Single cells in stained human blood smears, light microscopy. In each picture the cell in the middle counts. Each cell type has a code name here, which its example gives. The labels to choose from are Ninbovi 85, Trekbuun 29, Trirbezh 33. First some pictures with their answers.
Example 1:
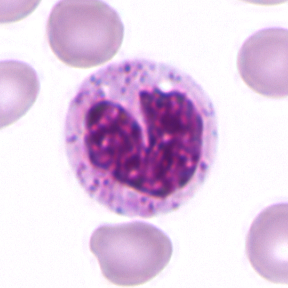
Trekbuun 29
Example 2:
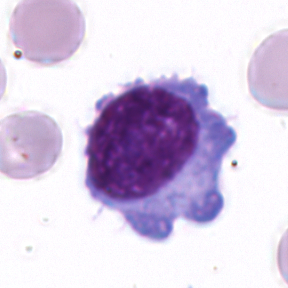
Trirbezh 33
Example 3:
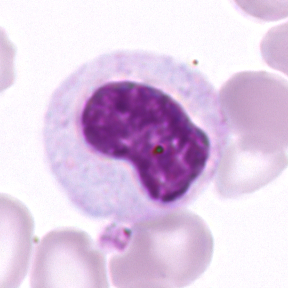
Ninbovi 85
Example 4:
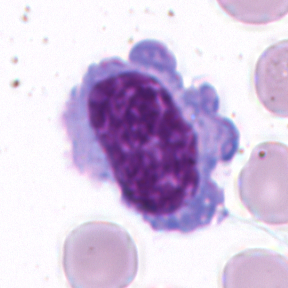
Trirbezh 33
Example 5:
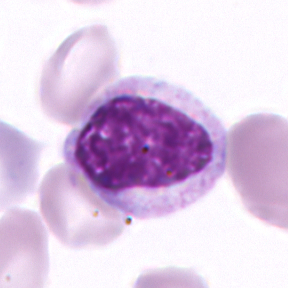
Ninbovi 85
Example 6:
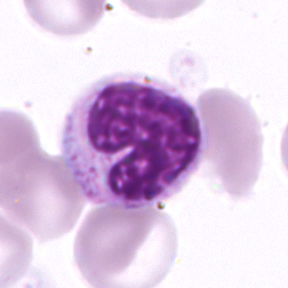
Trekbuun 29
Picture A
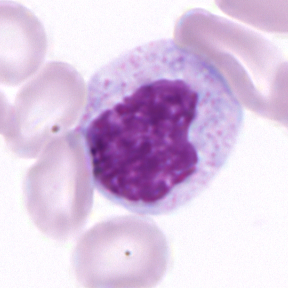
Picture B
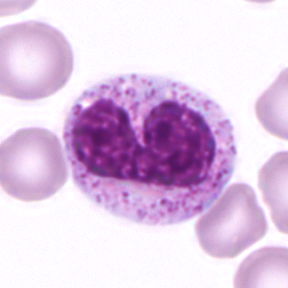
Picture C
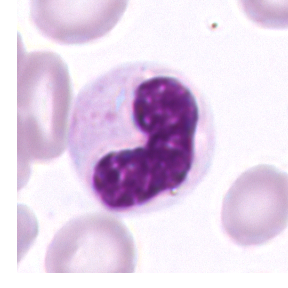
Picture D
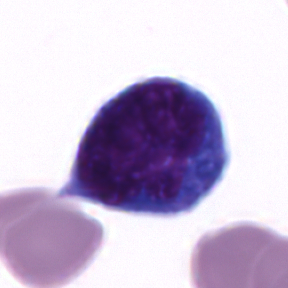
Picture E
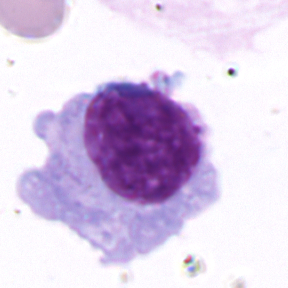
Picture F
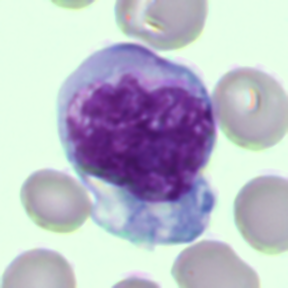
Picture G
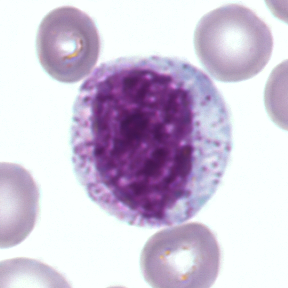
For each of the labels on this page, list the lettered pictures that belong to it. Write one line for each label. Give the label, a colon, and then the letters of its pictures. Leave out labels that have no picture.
Ninbovi 85: A, G
Trekbuun 29: B, C
Trirbezh 33: D, E, F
